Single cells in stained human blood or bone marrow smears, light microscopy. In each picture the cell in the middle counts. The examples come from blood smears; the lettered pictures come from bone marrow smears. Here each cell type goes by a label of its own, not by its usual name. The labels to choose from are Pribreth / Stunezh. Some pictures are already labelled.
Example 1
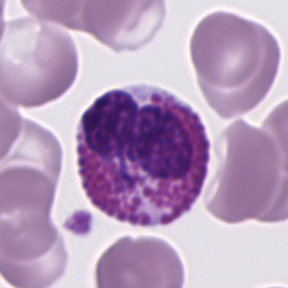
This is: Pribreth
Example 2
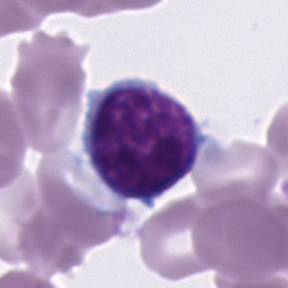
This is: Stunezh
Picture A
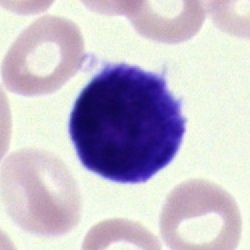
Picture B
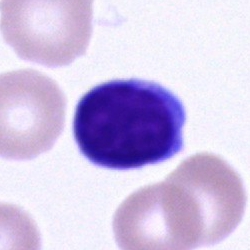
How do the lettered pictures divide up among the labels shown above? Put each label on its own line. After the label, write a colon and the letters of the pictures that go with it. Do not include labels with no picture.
Stunezh: A, B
